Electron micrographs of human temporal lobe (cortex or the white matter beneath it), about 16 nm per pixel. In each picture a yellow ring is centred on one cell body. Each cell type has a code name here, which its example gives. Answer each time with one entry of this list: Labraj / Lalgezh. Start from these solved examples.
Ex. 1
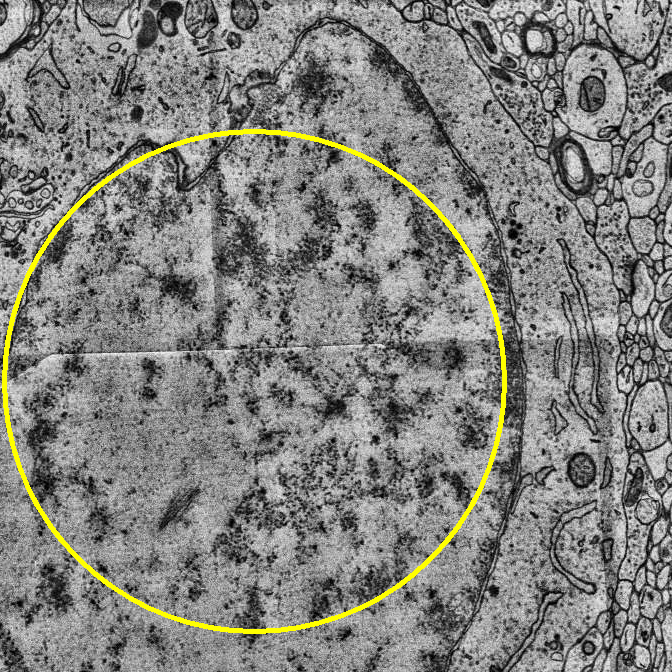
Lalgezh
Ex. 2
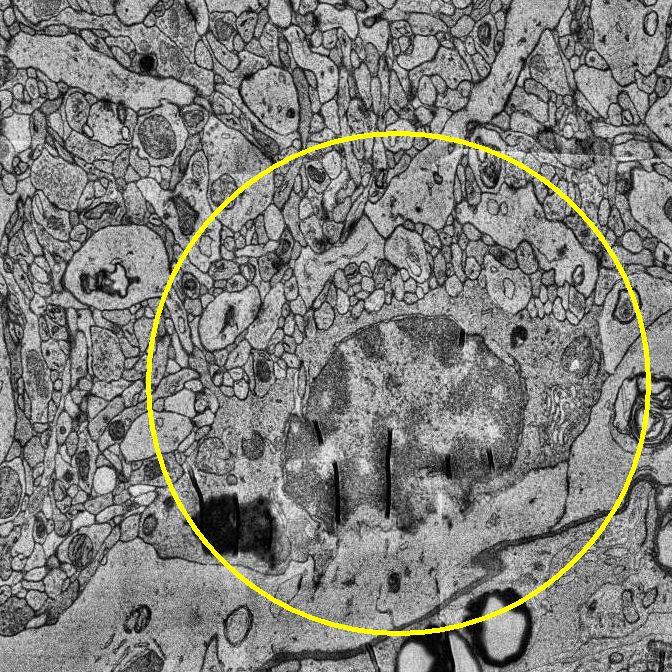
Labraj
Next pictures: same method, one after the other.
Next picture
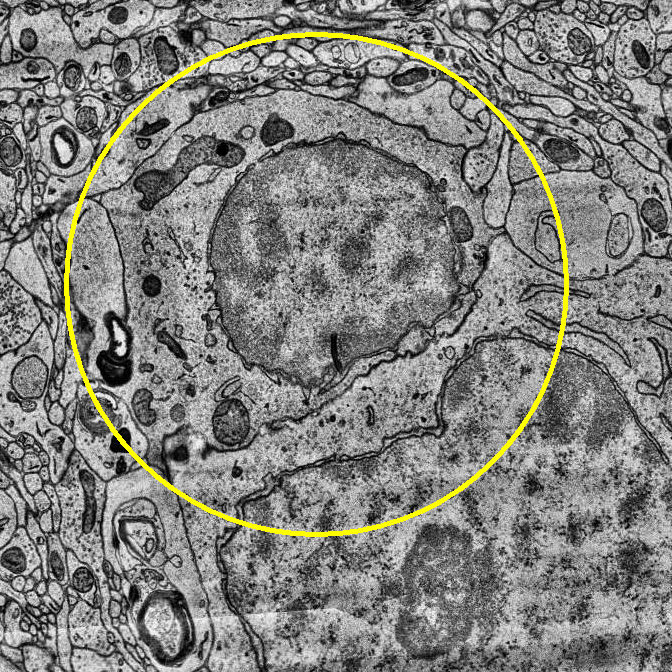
Labraj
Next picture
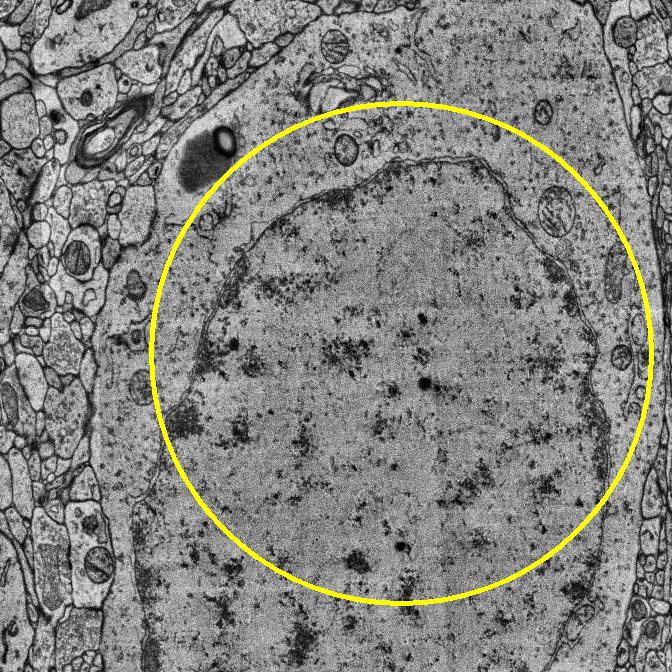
Lalgezh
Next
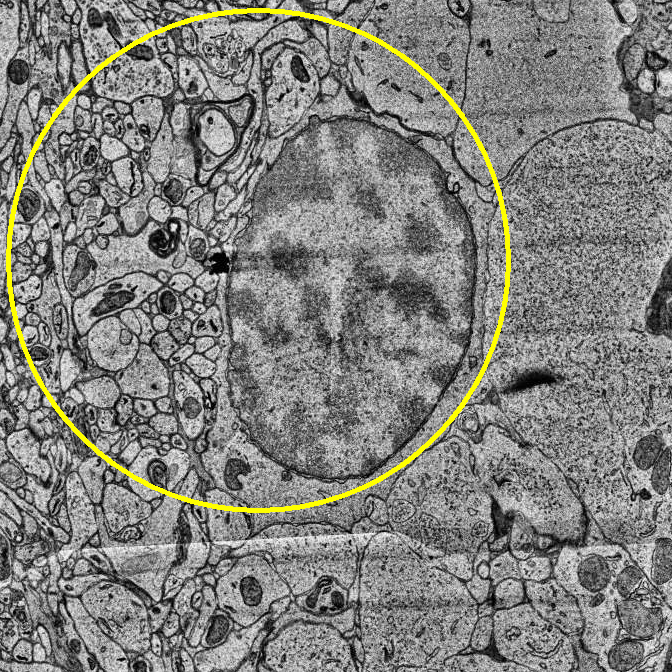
Labraj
